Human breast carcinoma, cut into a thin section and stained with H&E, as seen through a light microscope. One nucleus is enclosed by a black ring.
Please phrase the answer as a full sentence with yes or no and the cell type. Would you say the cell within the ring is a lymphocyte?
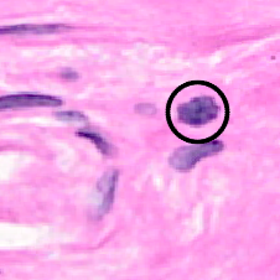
Yes, in terms of cell type, the cell within the ring is a lymphocyte.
